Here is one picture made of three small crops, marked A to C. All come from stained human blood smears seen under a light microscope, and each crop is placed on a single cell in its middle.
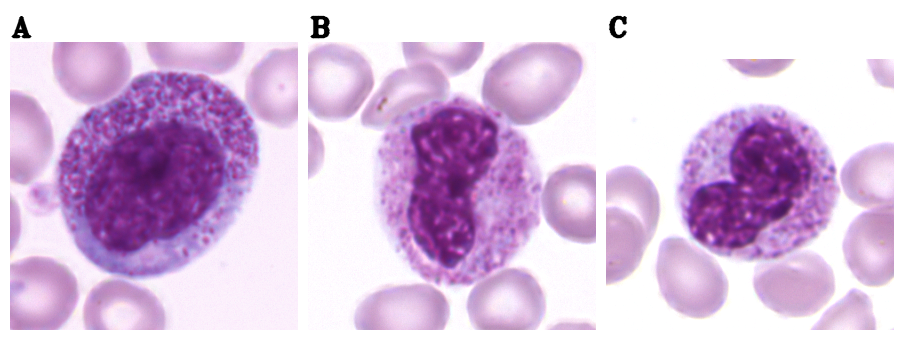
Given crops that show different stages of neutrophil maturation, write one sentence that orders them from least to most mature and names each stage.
In order from least mature to most mature, the crops stand crop A (a promyelocyte), crop B (a metamyelocyte) and crop C (a band neutrophil).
